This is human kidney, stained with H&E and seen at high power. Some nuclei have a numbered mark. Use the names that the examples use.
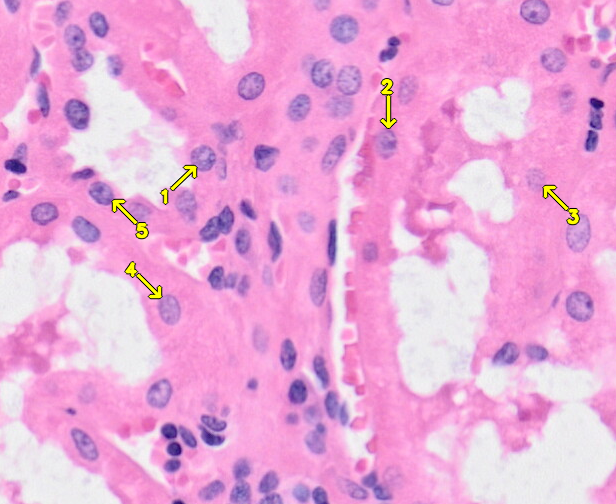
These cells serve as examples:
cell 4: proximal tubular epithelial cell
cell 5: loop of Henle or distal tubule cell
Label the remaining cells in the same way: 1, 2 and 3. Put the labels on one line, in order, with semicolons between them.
loop of Henle or distal tubule cell; proximal tubular epithelial cell; proximal tubular epithelial cell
